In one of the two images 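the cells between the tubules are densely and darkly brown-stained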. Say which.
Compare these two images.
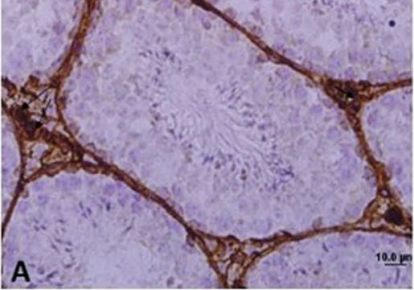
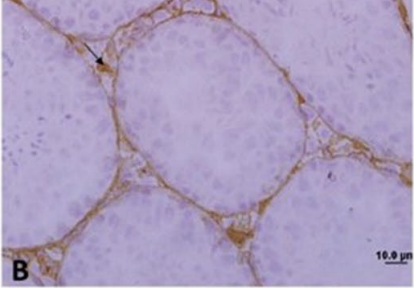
The first image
